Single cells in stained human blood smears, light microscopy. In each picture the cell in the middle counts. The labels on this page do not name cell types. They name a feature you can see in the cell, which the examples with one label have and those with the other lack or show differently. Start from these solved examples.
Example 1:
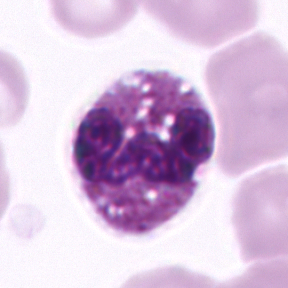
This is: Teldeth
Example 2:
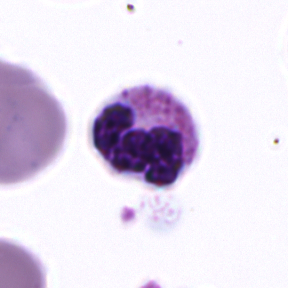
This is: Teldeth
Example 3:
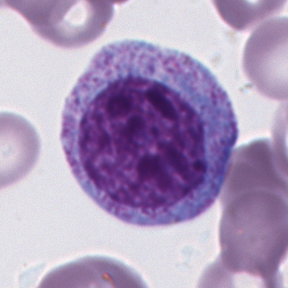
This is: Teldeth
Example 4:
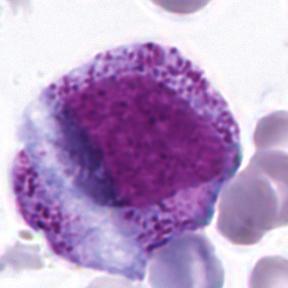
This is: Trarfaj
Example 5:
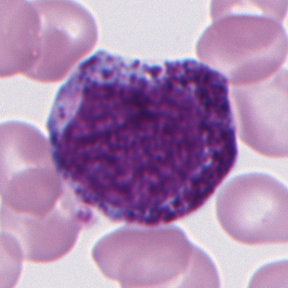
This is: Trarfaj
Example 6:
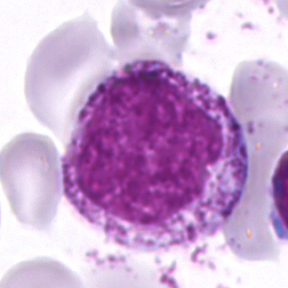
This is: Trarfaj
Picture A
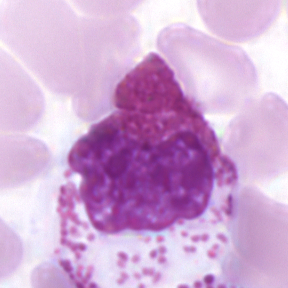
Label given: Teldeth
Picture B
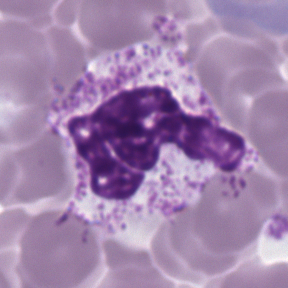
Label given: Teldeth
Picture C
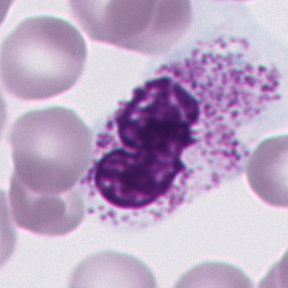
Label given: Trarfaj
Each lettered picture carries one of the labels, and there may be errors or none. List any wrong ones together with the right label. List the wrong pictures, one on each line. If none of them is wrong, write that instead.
B: not Teldeth but Trarfaj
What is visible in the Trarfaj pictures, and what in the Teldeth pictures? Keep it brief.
Seen in Trarfaj: coarse or large granules; seen in Teldeth: fine or small granules.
